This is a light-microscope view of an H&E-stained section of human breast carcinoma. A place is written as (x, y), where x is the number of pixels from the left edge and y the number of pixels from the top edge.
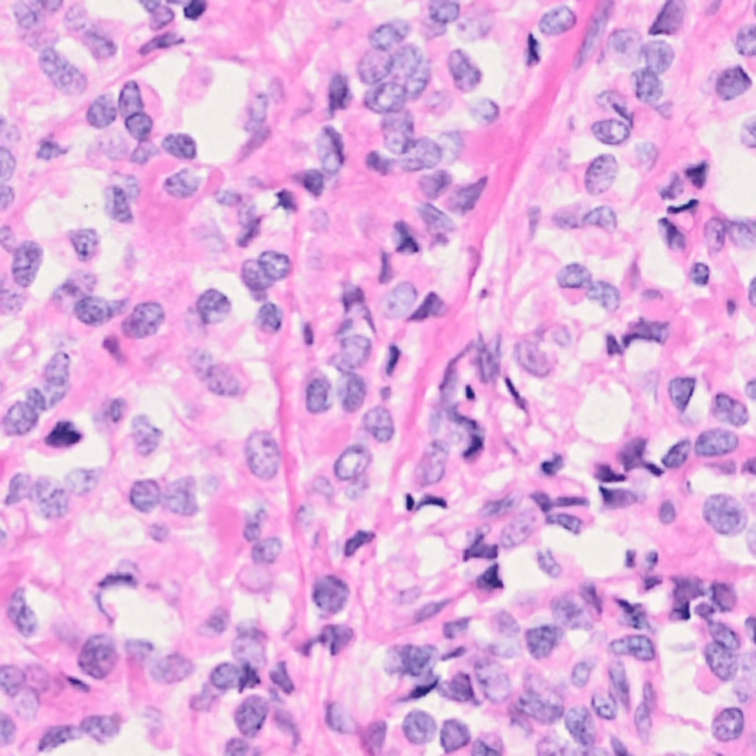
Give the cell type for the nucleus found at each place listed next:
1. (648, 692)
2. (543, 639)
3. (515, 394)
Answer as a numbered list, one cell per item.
1. endothelial cell
2. carcinoma cell
3. fibroblast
